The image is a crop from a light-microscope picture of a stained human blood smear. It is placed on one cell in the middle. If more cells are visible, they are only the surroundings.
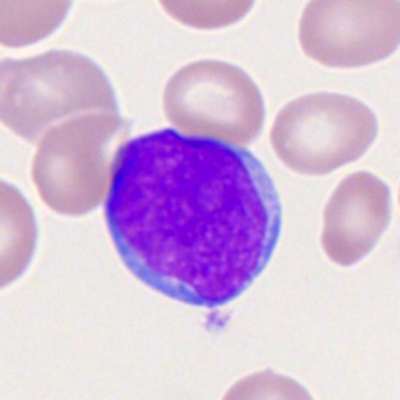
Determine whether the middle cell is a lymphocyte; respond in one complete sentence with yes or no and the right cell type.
No, the central cell is not a lymphocyte, being instead a myeloblast.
